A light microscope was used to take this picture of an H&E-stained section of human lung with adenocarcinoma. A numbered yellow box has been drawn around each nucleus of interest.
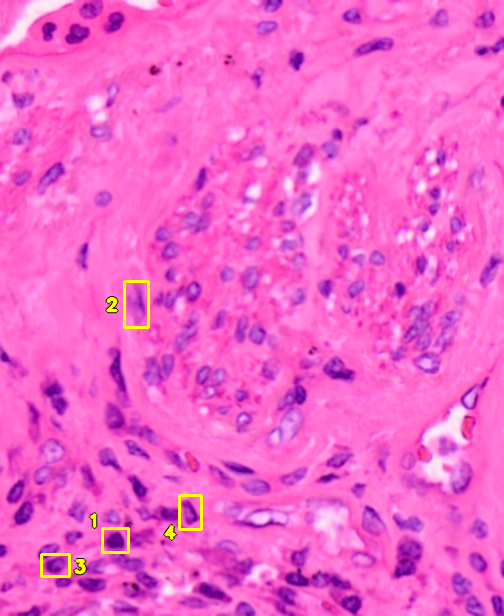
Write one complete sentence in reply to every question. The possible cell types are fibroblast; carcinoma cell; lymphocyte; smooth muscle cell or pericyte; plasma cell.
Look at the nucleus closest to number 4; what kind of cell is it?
The nucleus nearest to number 4 is that of a plasma cell.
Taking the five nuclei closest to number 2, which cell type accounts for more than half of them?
Smooth muscle cells or pericytes make up most of the five nuclei closest to number 2.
